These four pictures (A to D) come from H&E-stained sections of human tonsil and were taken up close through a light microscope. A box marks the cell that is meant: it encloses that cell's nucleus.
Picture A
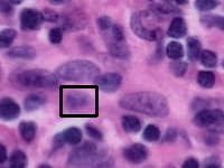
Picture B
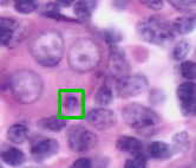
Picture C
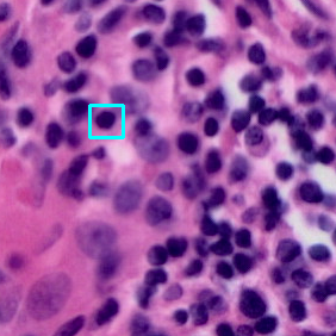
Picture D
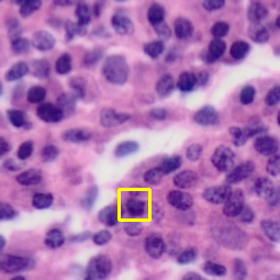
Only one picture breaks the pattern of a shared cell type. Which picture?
D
